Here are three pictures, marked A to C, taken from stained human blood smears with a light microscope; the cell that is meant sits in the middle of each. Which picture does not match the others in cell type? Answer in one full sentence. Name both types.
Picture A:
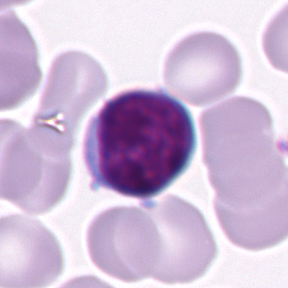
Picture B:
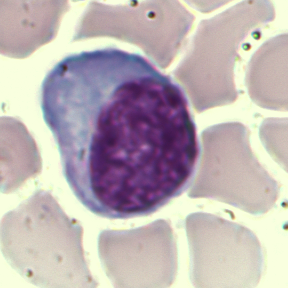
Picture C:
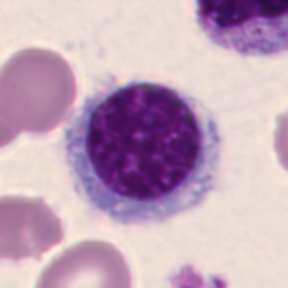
Unlike the rest, which show plasma cells, picture A shows a typical lymphocyte.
